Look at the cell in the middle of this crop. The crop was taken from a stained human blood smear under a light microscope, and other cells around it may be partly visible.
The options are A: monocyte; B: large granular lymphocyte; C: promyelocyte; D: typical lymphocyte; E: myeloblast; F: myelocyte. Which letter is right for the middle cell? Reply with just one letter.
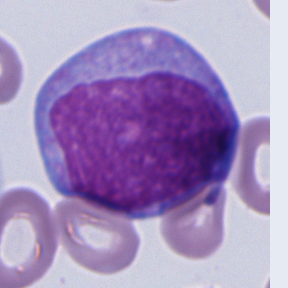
C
